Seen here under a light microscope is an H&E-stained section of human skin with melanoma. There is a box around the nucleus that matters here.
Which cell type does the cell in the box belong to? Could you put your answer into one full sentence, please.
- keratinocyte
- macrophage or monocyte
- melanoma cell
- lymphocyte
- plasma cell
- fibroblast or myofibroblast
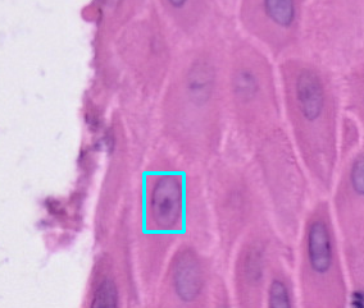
Microscopically, the cell in the box is categorized as a keratinocyte.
